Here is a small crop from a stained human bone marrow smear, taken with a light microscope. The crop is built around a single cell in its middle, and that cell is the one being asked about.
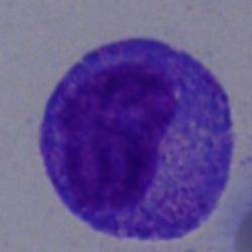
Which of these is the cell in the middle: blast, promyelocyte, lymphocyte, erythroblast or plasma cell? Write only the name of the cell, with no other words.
promyelocyte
